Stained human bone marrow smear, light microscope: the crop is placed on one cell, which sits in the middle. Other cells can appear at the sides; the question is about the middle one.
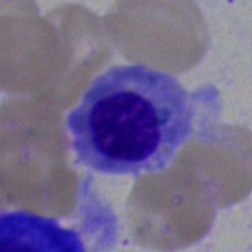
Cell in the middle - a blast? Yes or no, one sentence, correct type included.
No, at the centre of this crop is found a normoblast instead of a blast.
